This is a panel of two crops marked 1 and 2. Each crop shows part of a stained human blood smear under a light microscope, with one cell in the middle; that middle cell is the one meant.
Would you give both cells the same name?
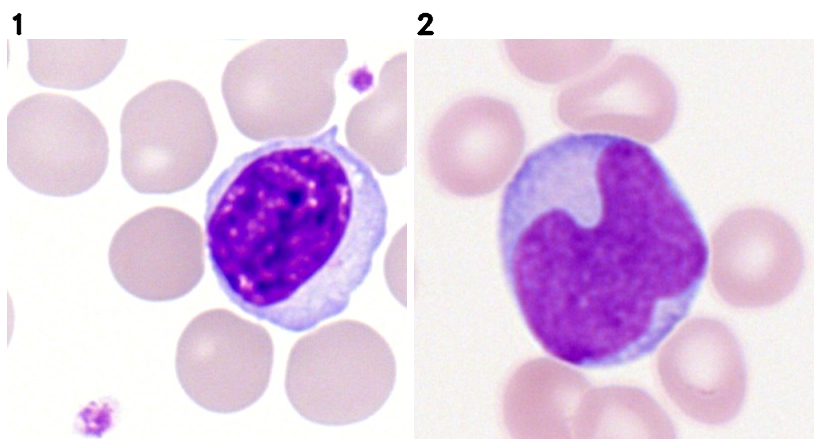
no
